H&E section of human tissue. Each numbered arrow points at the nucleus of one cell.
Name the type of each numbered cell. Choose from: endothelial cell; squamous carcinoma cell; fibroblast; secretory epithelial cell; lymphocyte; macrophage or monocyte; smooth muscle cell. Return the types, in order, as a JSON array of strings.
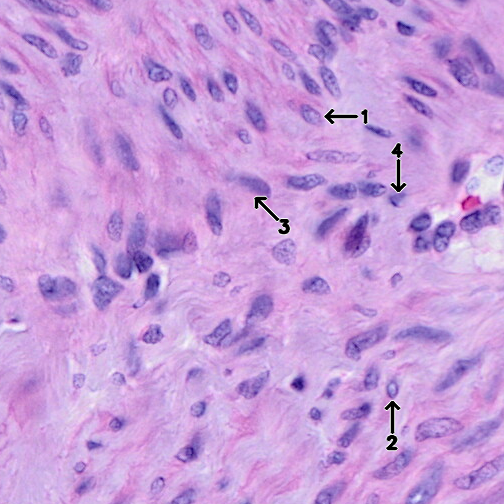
["smooth muscle cell", "smooth muscle cell", "smooth muscle cell", "fibroblast"]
